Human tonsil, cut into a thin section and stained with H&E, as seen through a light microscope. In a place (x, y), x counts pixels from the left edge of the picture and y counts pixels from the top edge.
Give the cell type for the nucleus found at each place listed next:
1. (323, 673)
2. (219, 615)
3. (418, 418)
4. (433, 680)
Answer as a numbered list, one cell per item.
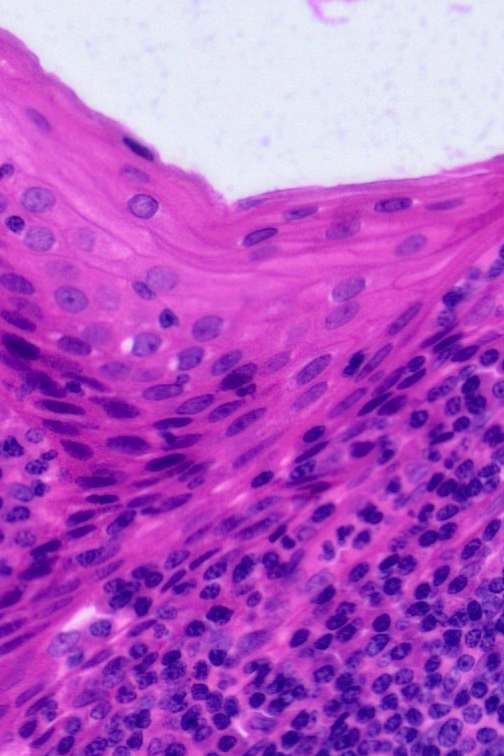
1. plasma cell
2. plasma cell
3. plasma cell
4. small lymphocyte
